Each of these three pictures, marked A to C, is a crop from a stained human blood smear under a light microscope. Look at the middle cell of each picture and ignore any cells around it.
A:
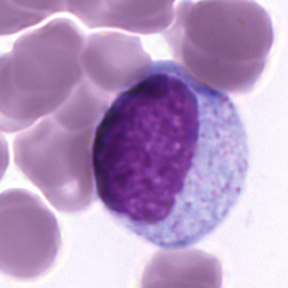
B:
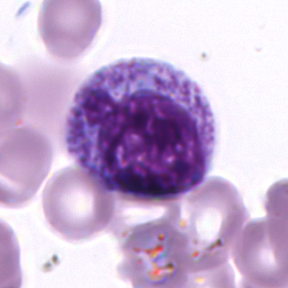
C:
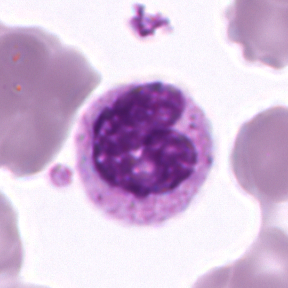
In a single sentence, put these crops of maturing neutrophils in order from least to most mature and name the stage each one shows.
The least to most mature ordering of the crops is crop A (a promyelocyte), crop B (a myelocyte) and crop C (a band neutrophil).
